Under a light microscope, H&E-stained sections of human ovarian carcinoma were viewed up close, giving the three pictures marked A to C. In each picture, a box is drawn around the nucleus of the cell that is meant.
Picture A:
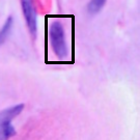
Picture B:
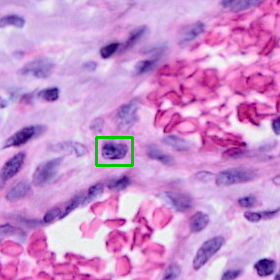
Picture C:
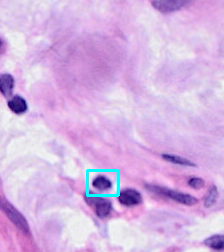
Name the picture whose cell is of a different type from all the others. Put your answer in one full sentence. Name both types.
Unlike the rest, which show lymphocytes, picture A shows an endothelial cell.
